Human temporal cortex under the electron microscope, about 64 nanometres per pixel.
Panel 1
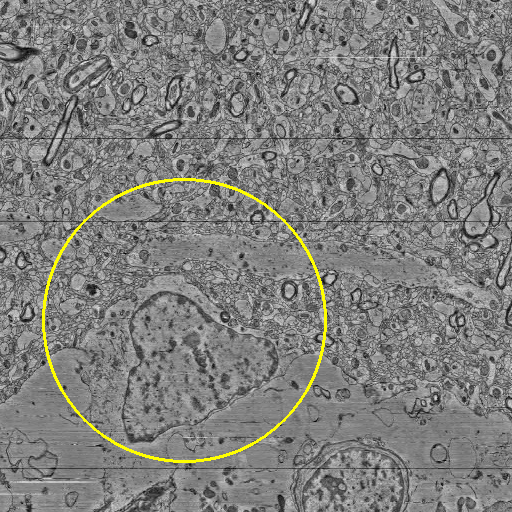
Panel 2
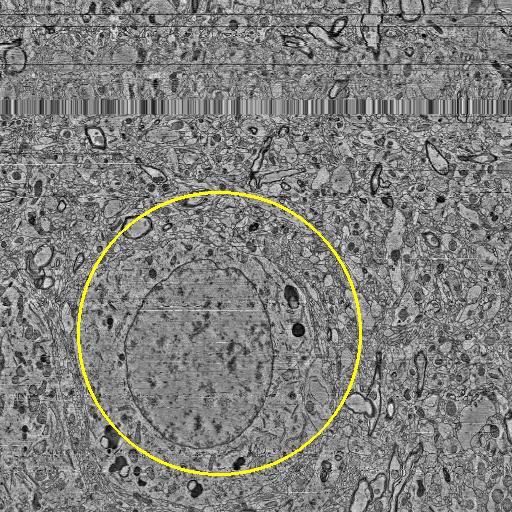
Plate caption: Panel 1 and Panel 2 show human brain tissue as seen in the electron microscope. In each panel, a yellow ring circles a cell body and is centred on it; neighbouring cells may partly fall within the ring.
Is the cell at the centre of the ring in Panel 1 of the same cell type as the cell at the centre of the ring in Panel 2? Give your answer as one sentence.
No, the two cells are of two types.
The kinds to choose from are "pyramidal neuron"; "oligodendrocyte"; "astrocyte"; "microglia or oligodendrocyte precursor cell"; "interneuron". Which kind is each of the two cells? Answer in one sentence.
Of the two, the first cell is a microglial cell or oligodendrocyte precursor cell and the second cell is a pyramidal neuron.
